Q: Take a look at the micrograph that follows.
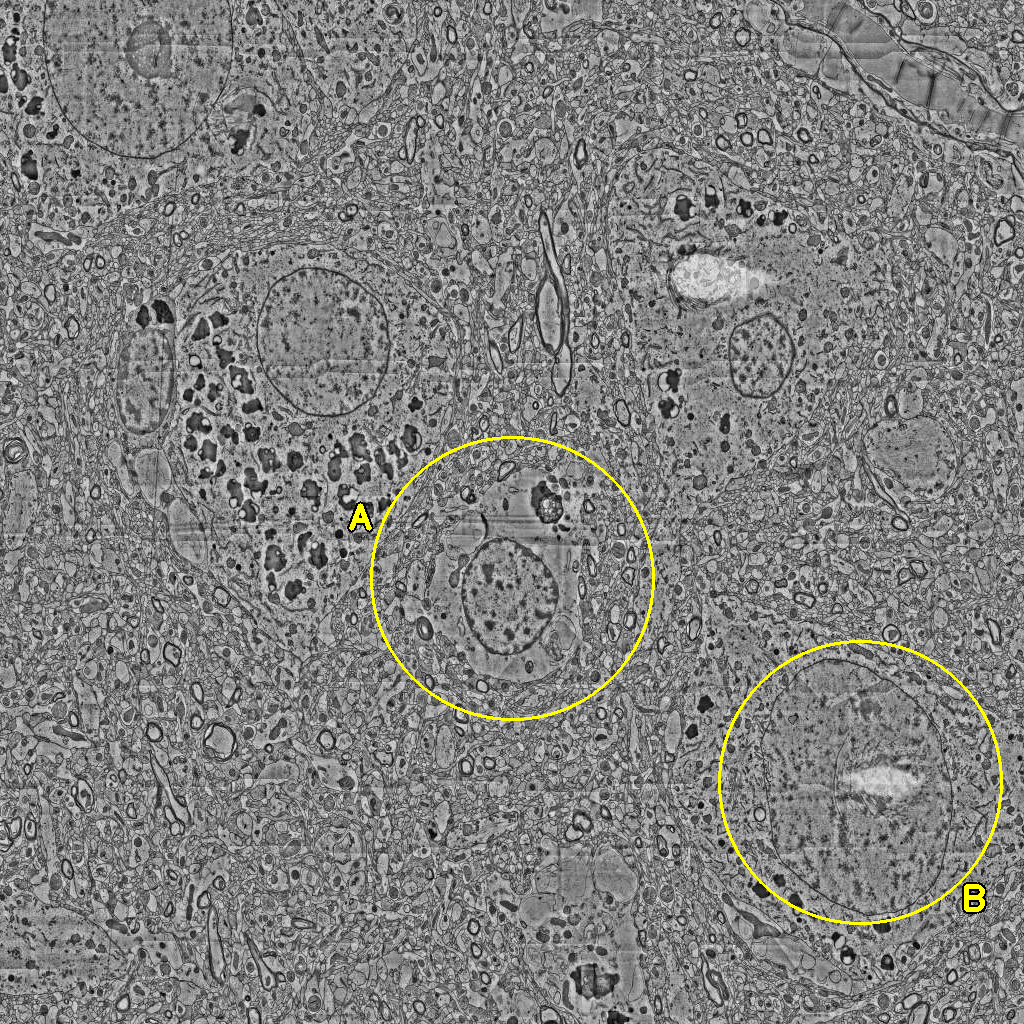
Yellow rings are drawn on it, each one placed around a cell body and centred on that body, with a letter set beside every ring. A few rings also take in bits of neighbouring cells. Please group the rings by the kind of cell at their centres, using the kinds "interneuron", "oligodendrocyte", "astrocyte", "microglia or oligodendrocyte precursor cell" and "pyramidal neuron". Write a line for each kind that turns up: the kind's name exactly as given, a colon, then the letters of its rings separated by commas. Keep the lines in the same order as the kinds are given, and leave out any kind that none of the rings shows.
astrocyte: A
pyramidal neuron: B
